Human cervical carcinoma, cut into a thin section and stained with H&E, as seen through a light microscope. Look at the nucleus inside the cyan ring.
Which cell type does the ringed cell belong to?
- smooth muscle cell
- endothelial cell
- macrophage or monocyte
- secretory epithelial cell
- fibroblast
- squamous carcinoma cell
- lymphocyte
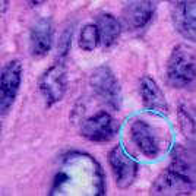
squamous carcinoma cell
